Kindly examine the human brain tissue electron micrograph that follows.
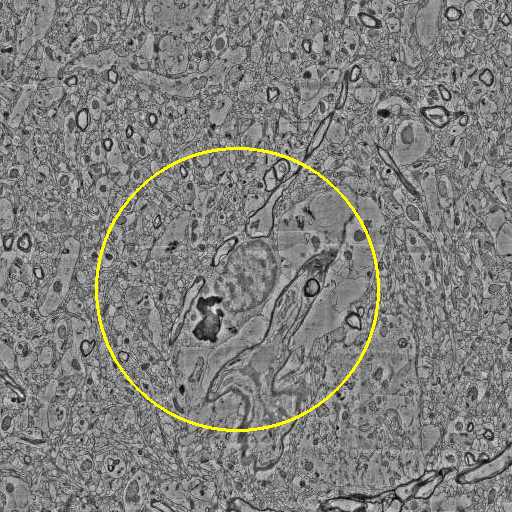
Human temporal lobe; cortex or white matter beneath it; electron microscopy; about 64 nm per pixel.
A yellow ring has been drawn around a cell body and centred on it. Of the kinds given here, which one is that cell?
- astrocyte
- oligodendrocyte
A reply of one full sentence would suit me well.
The micrograph's ringed cell, the one at the ring's centre, is an oligodendrocyte.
